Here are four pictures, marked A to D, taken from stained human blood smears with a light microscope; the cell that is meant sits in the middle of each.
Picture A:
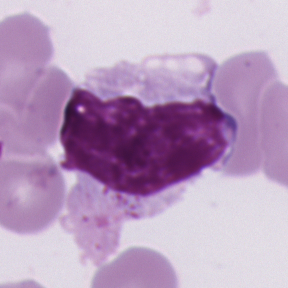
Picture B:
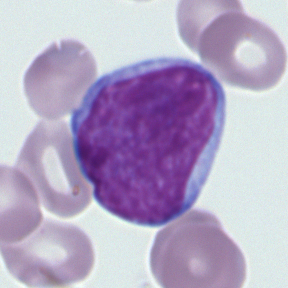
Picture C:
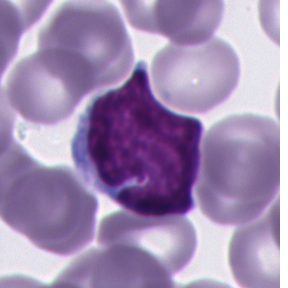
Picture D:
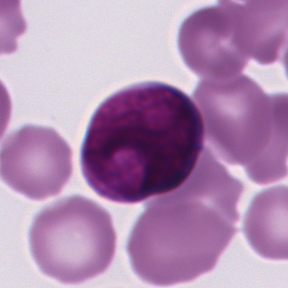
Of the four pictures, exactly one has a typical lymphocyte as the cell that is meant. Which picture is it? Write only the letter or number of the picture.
C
